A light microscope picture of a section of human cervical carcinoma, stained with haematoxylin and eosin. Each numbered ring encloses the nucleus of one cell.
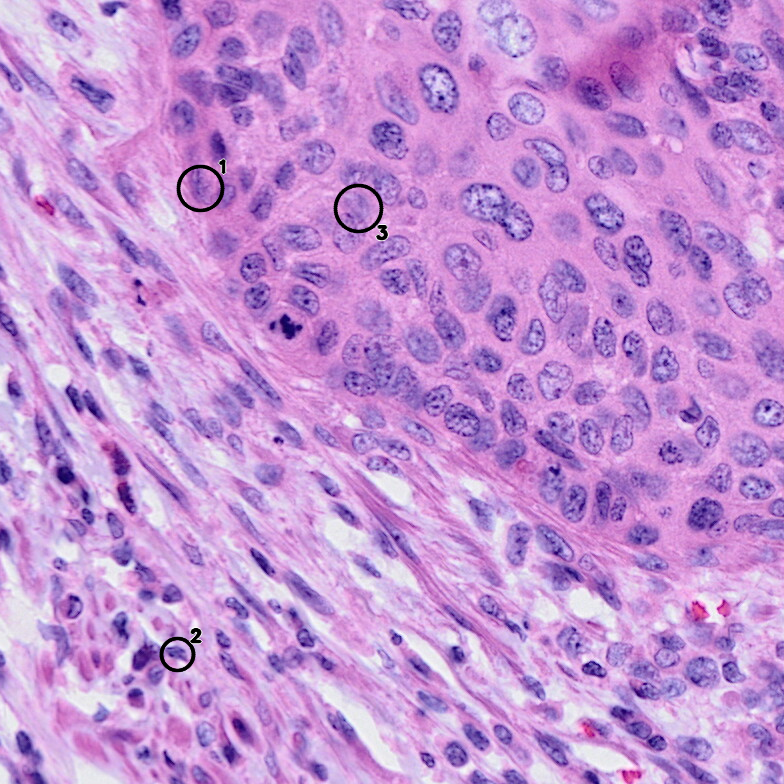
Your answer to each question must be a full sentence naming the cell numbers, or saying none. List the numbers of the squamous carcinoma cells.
The cells given the numbers 1 and 3 are squamous carcinoma cells.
